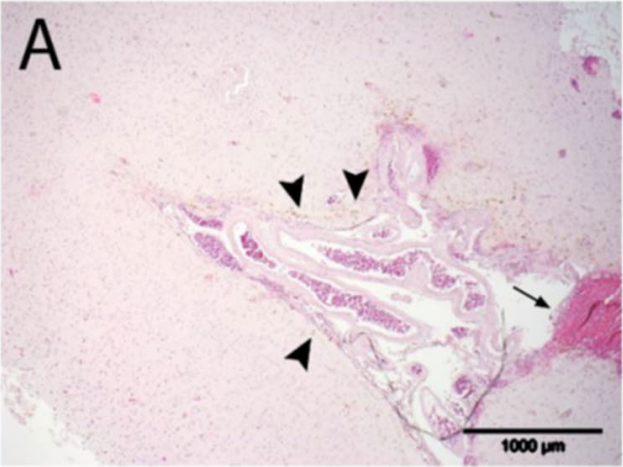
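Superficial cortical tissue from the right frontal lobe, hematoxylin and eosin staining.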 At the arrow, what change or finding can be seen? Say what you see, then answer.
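The arrow points to a bright red, densely eosinophilic mass. The mass lies in the space outside the cortical surface, beside the meningeal vessels.
Recent bleeding constituents.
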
